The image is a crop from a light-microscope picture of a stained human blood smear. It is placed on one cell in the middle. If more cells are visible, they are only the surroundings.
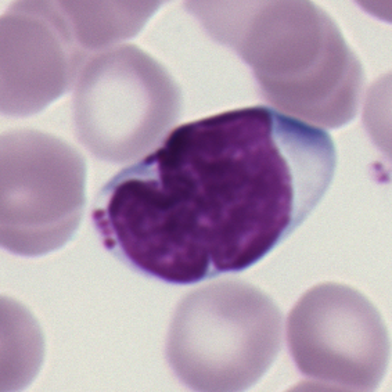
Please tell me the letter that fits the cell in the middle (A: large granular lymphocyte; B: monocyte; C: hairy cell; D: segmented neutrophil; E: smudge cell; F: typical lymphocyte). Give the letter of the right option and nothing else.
A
